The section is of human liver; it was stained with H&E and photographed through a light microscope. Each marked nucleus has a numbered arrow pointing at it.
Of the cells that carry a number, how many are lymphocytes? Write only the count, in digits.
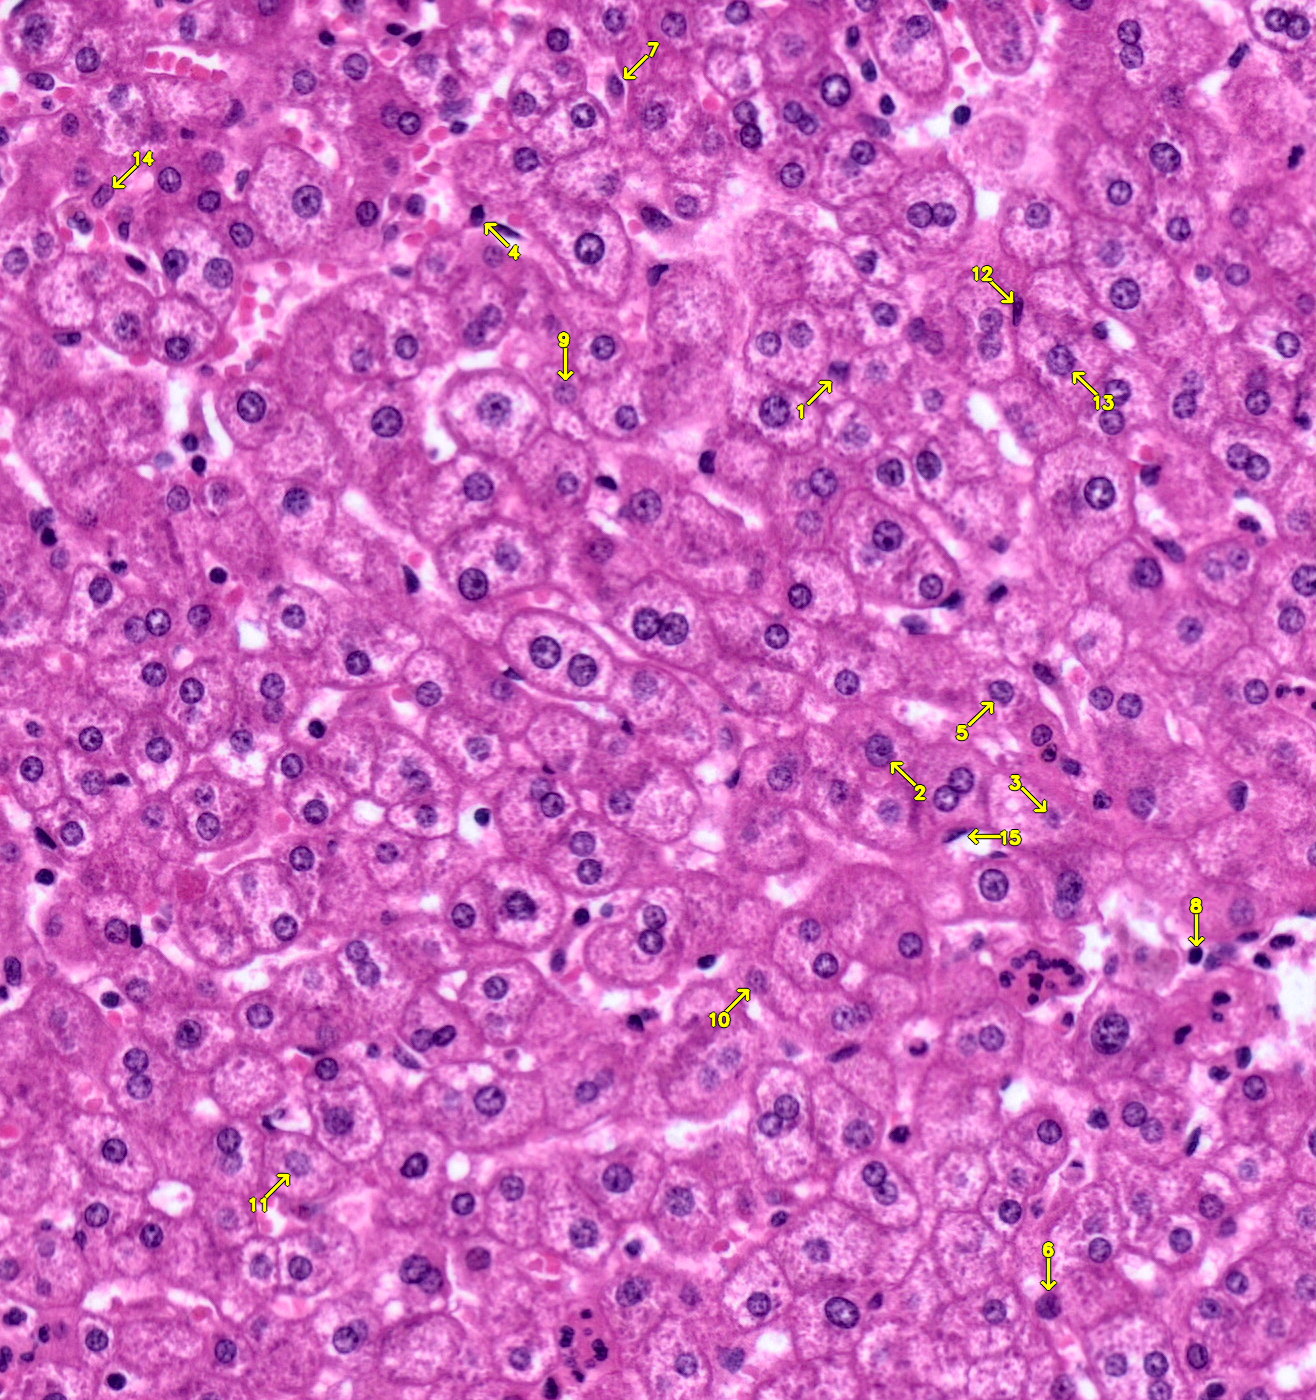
1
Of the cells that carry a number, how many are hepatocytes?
7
